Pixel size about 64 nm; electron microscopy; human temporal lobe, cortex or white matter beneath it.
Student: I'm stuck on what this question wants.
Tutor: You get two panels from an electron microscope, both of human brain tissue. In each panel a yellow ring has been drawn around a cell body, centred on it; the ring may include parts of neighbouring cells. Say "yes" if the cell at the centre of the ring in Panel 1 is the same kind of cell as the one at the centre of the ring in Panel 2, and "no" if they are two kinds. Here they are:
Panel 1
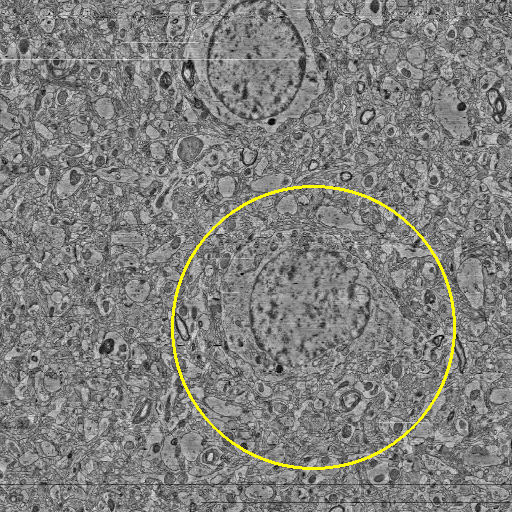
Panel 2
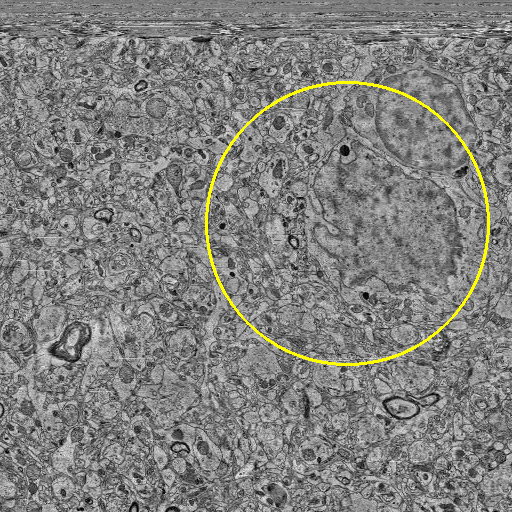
yes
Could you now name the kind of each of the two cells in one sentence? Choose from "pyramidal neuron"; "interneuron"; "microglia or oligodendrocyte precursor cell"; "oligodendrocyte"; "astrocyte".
The second cell is an interneuron, just as the first is.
